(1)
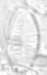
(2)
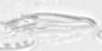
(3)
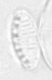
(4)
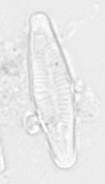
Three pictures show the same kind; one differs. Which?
Picture 3: Nitzschia, while the others are Achnanthidium.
